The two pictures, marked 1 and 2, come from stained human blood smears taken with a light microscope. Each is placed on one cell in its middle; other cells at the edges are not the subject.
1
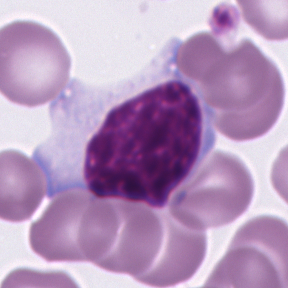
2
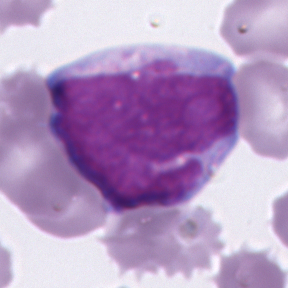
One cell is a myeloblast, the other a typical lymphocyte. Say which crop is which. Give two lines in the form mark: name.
1: typical lymphocyte
2: myeloblast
